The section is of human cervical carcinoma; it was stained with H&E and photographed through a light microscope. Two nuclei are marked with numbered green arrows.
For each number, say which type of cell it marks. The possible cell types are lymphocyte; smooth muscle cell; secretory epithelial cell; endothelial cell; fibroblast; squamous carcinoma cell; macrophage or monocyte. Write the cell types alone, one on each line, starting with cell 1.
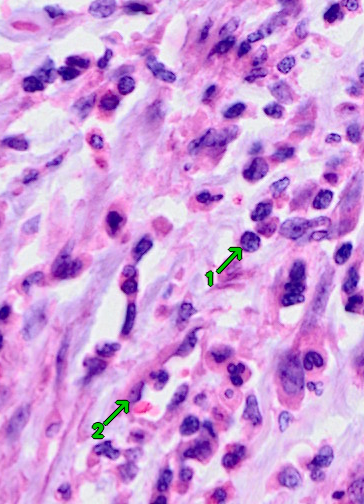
lymphocyte
endothelial cell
